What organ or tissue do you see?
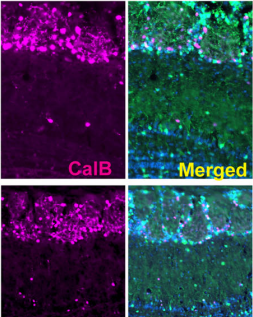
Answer: Olfactory Bulb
